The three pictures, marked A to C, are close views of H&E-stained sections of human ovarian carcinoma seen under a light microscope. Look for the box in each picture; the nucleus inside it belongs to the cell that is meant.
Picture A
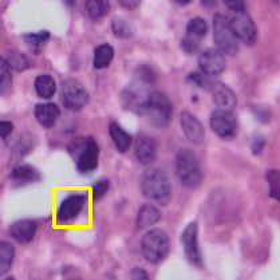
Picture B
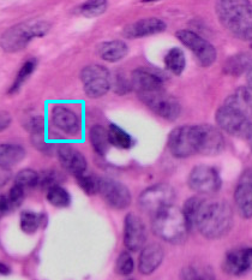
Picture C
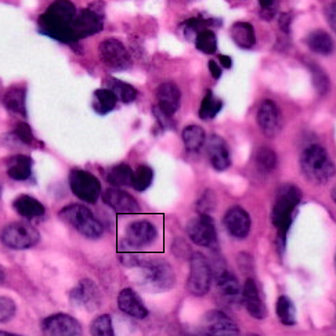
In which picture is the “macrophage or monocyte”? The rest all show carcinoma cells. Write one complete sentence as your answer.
The picture with the “macrophage or monocyte” is C.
